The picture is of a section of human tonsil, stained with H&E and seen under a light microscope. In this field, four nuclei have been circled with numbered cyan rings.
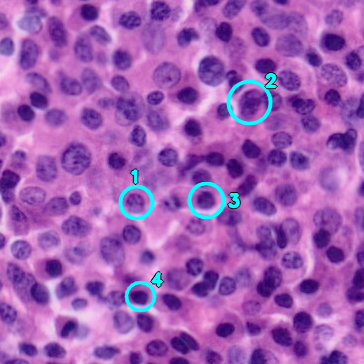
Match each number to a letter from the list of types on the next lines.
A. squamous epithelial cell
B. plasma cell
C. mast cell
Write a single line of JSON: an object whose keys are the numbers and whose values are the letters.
{"1": "B", "2": "A", "3": "B", "4": "B"}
